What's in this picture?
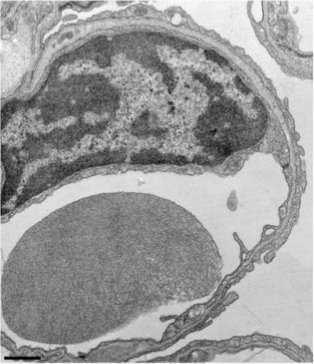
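This transmission electron micrograph shows a lung capillary in cross-section lined by a thin endothelial cell. A large endothelial nucleus with dark clumped heterochromatin occupies the upper part of the vessel. A red blood cell with homogeneous, finely granular dense content lies in the lumen below the nucleus. The endothelial lining elsewhere forms a thin continuous sheet along the vessel wall, with small folds and projections at the outer margins.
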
